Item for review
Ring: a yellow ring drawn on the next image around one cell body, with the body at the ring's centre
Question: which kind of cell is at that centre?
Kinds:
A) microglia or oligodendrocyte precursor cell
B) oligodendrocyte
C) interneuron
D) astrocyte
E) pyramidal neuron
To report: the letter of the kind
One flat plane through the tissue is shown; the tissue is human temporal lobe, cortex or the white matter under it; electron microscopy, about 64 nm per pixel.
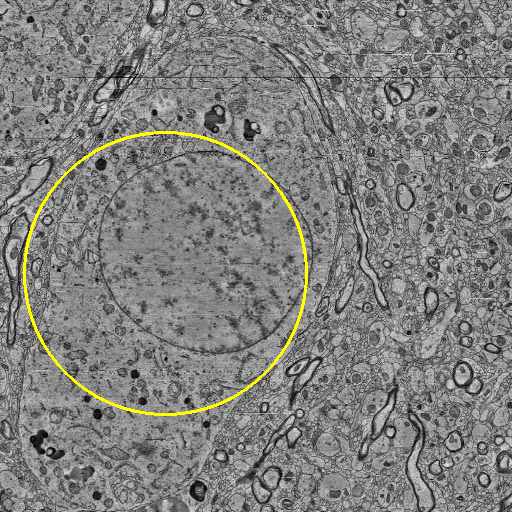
E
